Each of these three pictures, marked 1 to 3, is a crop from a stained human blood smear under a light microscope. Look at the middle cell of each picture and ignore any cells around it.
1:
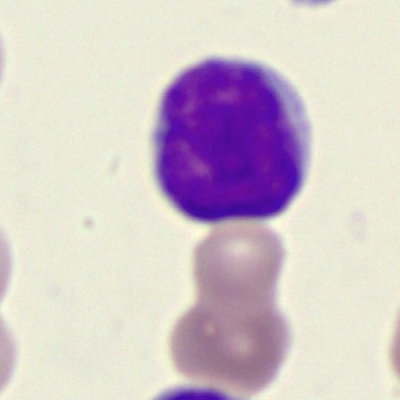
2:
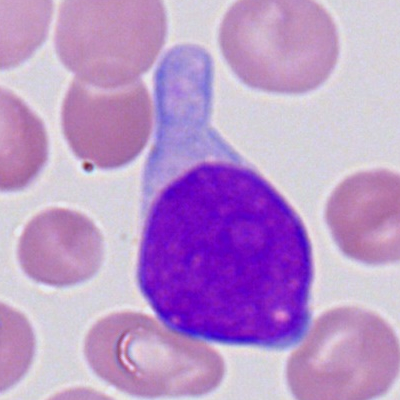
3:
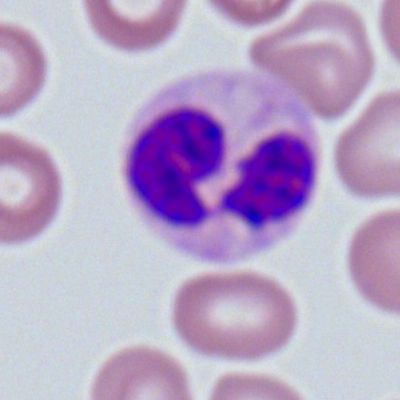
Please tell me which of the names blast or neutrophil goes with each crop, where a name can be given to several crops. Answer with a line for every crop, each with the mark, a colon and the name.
1: blast
2: blast
3: neutrophil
